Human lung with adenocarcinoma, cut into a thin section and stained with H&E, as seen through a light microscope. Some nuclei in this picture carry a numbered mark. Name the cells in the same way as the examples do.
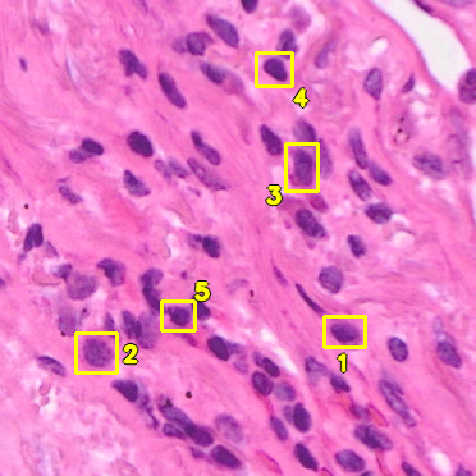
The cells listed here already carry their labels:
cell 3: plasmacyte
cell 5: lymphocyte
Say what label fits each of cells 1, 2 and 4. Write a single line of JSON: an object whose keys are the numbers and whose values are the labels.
{"1": "plasmacyte", "2": "plasmacyte", "4": "lymphocyte"}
